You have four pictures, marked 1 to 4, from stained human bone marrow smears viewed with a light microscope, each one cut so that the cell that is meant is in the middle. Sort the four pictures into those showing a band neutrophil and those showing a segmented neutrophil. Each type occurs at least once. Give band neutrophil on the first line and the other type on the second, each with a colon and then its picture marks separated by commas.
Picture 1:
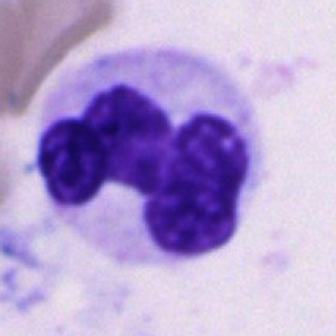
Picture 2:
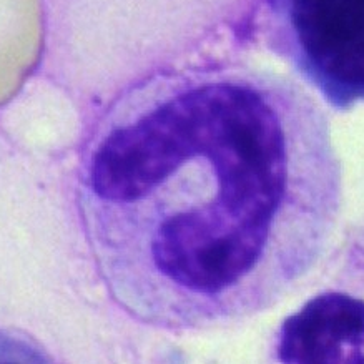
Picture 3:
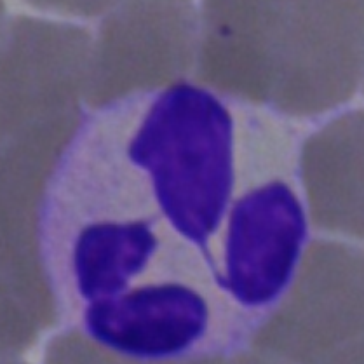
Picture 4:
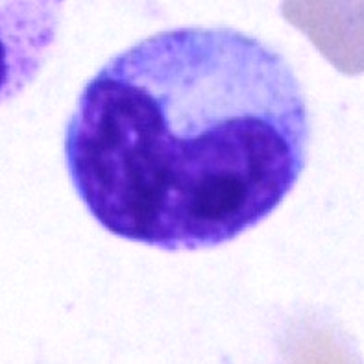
band neutrophil: 2, 4
segmented neutrophil: 1, 3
